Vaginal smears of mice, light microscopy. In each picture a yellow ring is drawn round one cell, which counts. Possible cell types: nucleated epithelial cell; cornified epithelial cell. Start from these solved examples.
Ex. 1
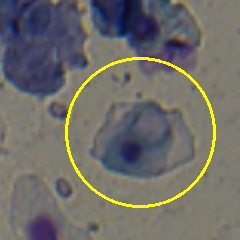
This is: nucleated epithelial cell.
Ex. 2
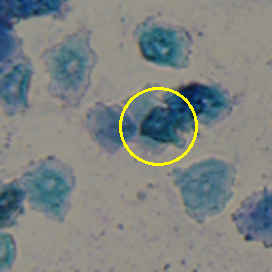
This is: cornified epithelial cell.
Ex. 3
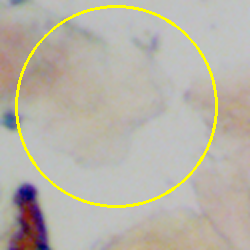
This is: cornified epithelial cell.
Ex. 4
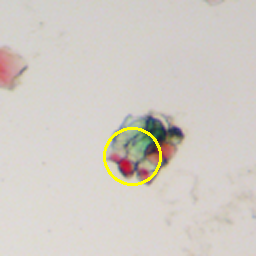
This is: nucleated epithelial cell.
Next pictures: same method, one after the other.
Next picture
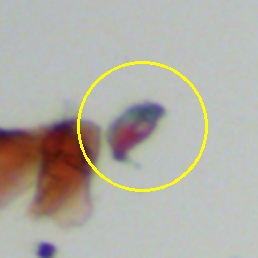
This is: nucleated epithelial cell.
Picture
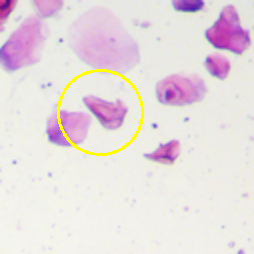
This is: cornified epithelial cell.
